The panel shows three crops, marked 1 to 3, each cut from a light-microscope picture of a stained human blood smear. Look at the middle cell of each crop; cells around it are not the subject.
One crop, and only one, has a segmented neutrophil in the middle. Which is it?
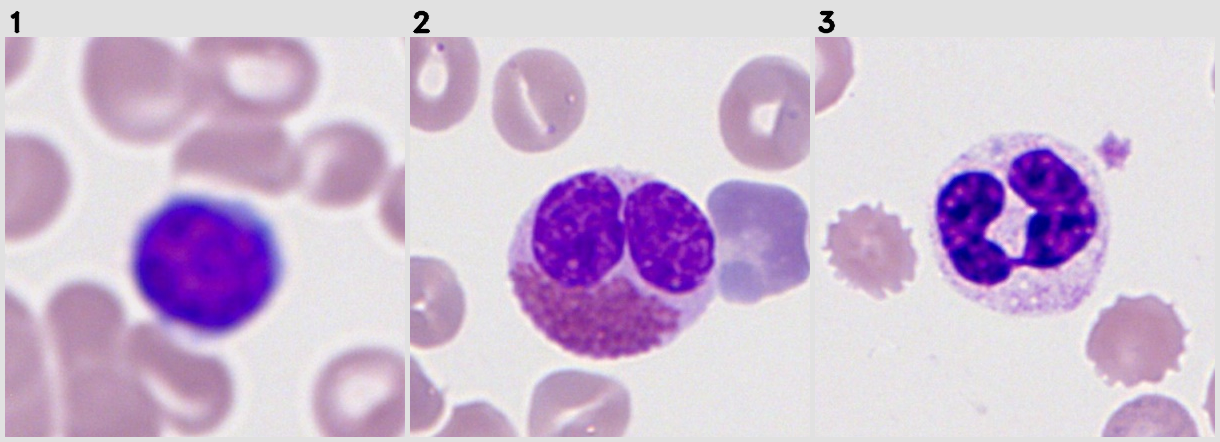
3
